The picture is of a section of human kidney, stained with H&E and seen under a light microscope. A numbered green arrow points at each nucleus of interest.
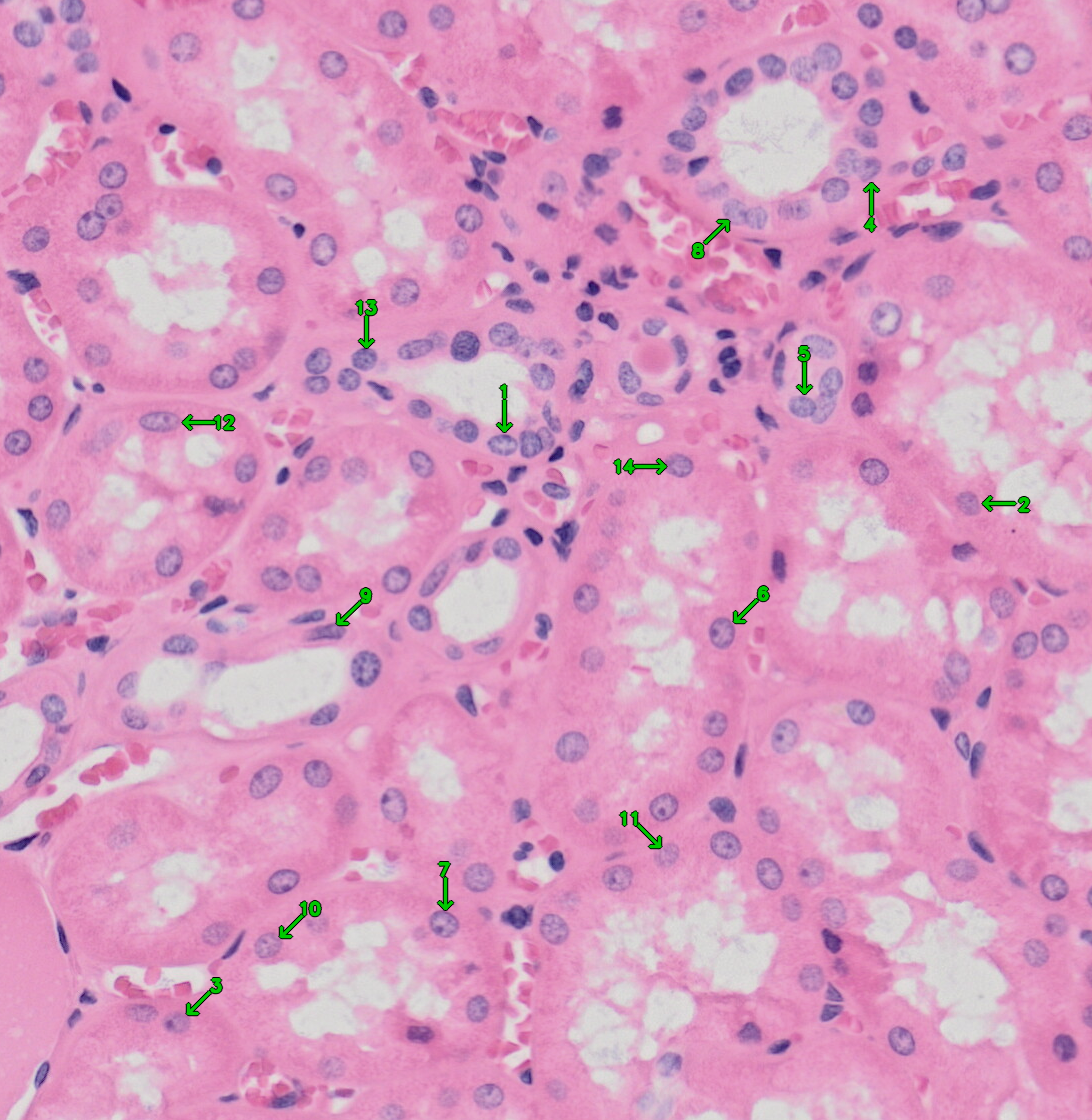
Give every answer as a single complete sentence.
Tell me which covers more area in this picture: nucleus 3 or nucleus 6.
Nucleus 6 covers more area, about 1.5 times as much as nucleus 3.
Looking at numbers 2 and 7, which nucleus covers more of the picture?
The larger nucleus is 7, at roughly 1.5 times the area of 2.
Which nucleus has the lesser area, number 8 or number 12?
Nucleus 8 covers less area, with nucleus 12 about 1.5 times as large.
